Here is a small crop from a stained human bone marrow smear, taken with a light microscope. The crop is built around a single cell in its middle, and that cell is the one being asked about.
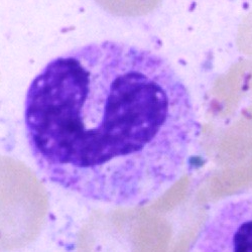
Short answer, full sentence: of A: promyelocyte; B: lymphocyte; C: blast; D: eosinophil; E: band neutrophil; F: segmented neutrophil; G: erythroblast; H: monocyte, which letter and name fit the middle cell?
The central cell is a band neutrophil, which makes option E the right answer.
